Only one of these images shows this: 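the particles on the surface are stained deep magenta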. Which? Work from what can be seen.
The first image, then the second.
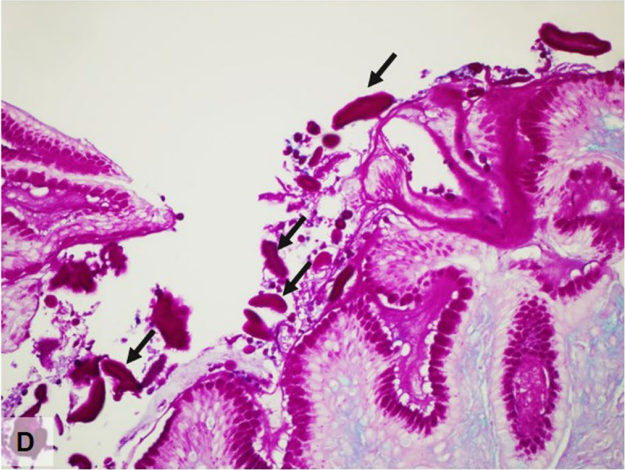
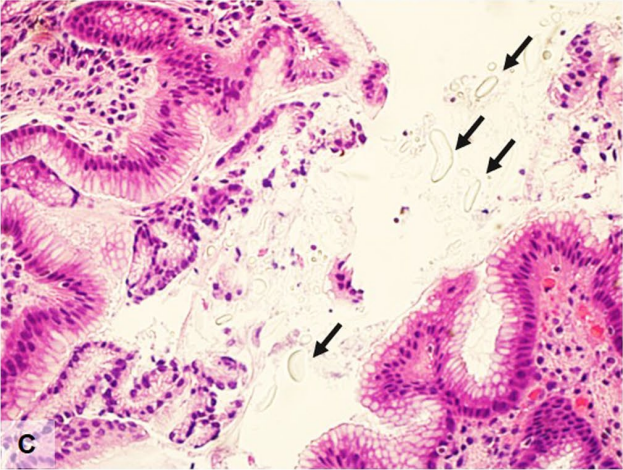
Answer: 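The first image. Second image: the rod-shaped particles beside the epithelium are clear and colourless. First image: the rod-shaped particles on the surface are solid deep magenta.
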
